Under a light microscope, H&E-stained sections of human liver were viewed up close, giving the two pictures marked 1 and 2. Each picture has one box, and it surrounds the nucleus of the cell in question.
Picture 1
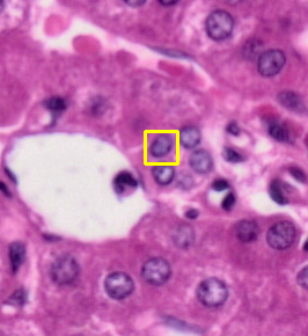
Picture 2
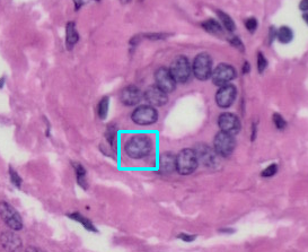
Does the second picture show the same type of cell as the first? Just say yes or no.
yes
